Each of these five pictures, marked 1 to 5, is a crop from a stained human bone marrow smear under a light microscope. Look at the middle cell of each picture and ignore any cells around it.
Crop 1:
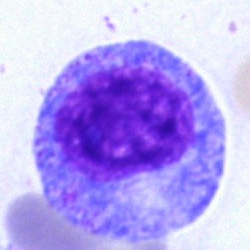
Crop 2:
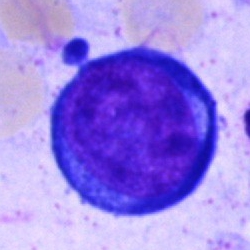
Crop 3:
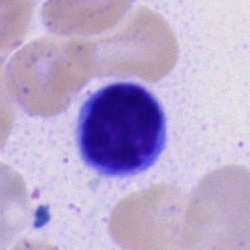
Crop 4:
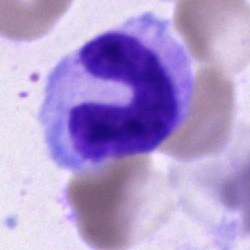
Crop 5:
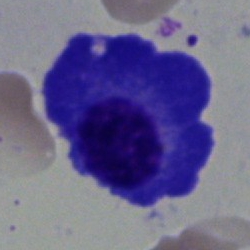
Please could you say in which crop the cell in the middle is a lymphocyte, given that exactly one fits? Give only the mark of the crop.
3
